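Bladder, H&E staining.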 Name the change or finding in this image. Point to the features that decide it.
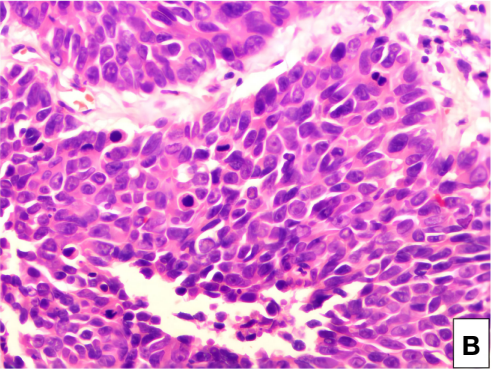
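Nuclei vary clearly in size and shape. Nuclei are large relative to the cytoplasm. Several nuclei show distinct dark nucleoli.
The nucleus is polymorphic.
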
